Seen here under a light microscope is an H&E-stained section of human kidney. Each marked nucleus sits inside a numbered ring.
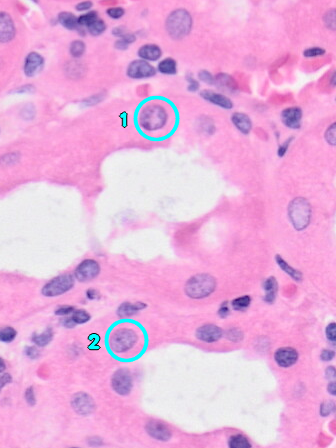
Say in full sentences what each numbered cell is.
Cell 1 is a proximal tubule cell and cell 2 is a loop of Henle or distal tubule cell.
